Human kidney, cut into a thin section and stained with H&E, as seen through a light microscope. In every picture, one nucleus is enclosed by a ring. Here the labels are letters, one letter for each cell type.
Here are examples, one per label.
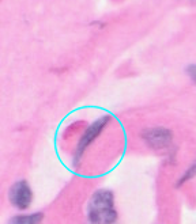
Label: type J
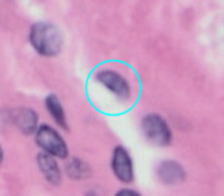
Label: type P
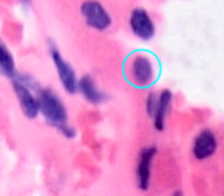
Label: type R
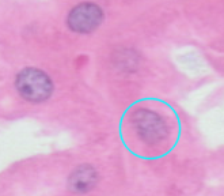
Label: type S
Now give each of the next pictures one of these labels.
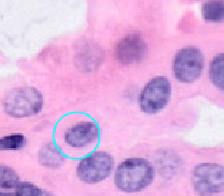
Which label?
type P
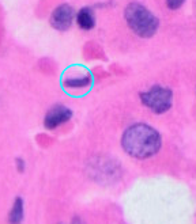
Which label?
type J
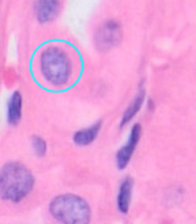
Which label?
type R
